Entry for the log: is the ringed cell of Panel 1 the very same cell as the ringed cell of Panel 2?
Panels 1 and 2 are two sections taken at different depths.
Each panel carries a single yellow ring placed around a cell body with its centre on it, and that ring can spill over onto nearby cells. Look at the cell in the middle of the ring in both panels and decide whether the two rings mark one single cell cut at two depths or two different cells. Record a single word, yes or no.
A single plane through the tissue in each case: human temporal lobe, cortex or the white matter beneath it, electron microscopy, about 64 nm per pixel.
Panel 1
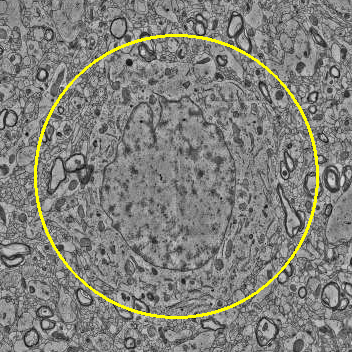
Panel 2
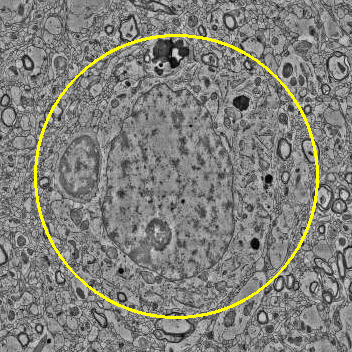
yes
